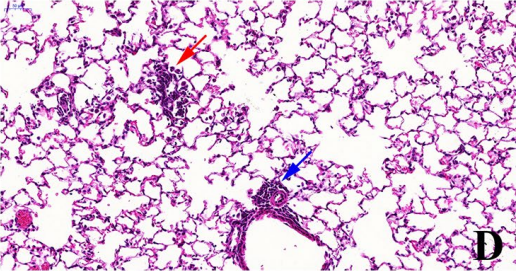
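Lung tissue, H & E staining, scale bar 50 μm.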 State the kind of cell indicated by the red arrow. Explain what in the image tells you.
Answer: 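Interalveolar inflammatory cells. A cluster of dark, round-nucleated cells lies within the alveolar region away from airways. The cluster thickens the alveolar walls locally.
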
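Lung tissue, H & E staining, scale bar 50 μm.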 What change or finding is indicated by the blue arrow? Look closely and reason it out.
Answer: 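A tight cuff of small dark round nuclei surrounds a small vessel next to an airway. The cuff stands out against the pale alveolar walls.
Answer: infiltration of inflammatory cells in the peribronchial and perivascular areas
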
